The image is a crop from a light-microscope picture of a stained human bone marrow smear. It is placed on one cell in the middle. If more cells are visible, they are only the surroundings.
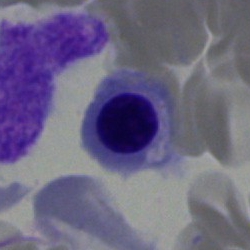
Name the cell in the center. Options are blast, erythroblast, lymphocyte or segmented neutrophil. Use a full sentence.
In the middle of this smear crop, the cell is an erythroblast.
